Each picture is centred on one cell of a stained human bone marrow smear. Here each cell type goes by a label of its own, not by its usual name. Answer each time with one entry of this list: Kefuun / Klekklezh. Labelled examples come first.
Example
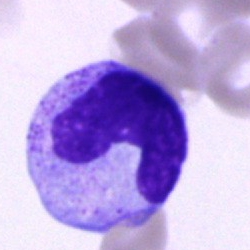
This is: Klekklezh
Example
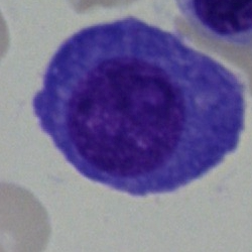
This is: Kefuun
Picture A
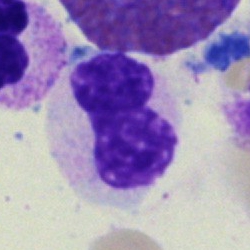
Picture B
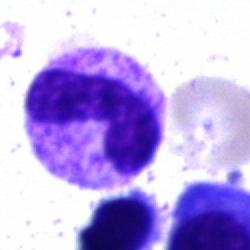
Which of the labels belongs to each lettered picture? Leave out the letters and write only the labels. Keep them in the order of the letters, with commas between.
Klekklezh, Klekklezh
